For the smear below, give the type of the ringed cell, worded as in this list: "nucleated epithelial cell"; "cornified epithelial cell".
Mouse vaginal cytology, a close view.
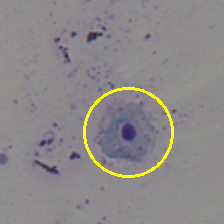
nucleated epithelial cell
